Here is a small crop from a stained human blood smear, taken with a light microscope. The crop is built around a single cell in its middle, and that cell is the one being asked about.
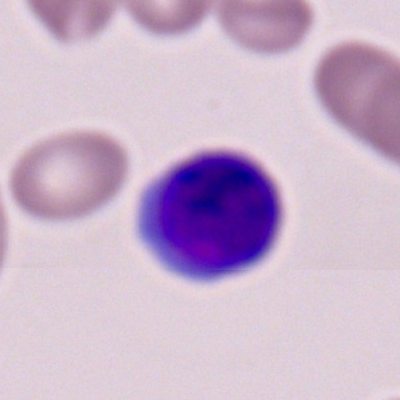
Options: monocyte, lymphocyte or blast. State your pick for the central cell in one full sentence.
By classification, the middle cell of this crop is a lymphocyte.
